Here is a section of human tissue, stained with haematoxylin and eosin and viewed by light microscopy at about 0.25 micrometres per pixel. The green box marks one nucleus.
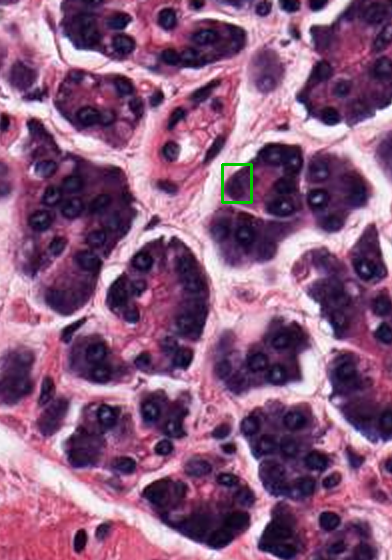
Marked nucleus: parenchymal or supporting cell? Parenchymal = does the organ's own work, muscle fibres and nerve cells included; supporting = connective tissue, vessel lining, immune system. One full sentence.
The marked nucleus is ascribed to a parenchymal cell, namely a pancreatic acinar cell.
